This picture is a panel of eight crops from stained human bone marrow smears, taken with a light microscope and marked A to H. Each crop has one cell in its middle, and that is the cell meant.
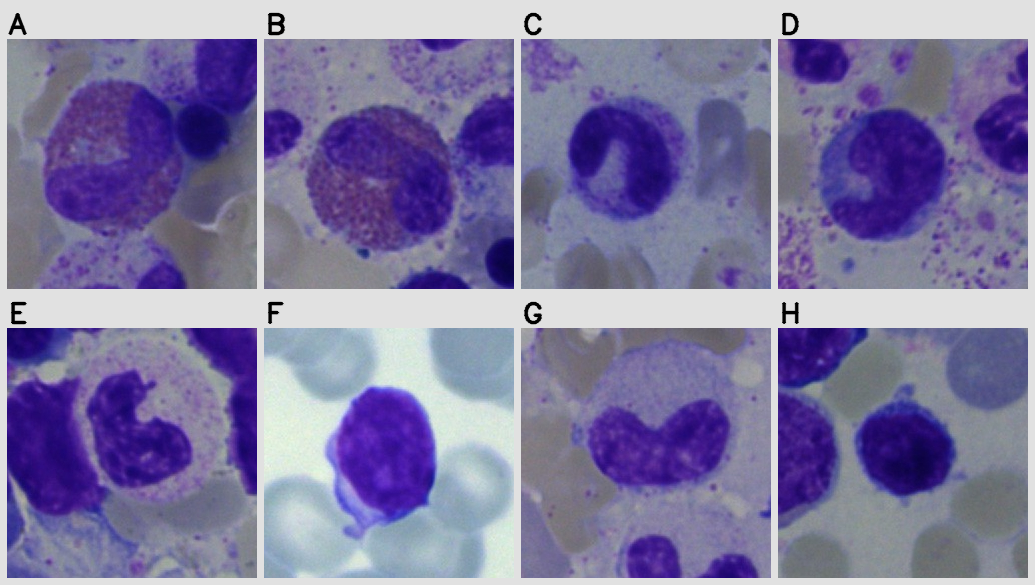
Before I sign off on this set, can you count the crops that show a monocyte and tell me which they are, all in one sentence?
Only in crop D does a monocyte occupy the centre.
